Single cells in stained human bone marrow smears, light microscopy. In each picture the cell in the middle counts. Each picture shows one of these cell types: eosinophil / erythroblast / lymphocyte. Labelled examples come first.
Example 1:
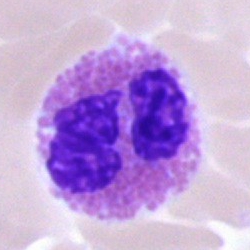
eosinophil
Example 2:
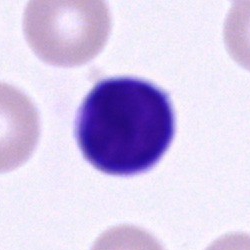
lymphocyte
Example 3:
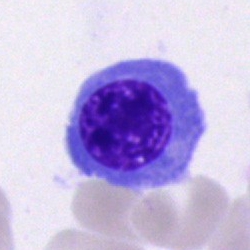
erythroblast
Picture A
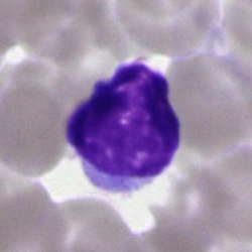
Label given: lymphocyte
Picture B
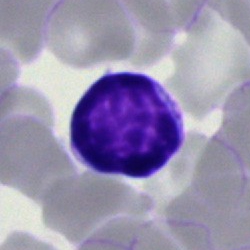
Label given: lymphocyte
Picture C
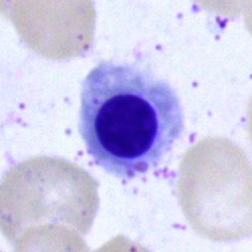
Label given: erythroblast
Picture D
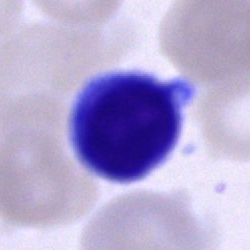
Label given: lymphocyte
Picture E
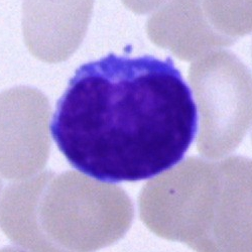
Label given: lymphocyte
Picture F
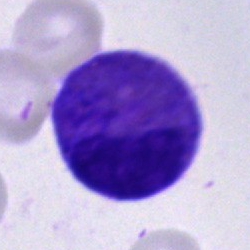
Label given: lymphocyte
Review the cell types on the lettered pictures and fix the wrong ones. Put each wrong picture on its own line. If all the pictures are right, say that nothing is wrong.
F should be eosinophil, not lymphocyte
